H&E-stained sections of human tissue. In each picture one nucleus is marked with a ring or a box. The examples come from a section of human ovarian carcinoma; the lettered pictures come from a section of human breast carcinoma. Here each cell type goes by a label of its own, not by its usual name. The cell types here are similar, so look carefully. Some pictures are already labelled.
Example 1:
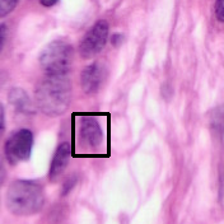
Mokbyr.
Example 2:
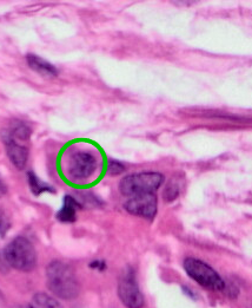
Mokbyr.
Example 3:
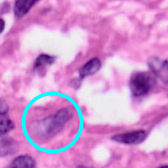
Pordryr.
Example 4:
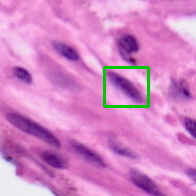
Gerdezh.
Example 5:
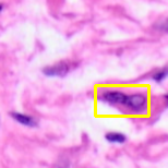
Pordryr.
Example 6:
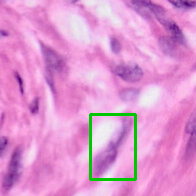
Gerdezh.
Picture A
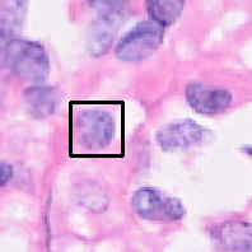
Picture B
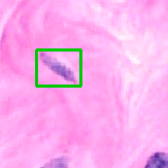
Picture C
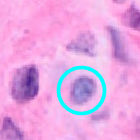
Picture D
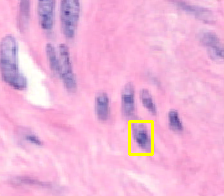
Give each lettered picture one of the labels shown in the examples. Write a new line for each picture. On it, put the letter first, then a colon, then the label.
A: Mokbyr.
B: Gerdezh.
C: Pordryr.
D: Pordryr.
